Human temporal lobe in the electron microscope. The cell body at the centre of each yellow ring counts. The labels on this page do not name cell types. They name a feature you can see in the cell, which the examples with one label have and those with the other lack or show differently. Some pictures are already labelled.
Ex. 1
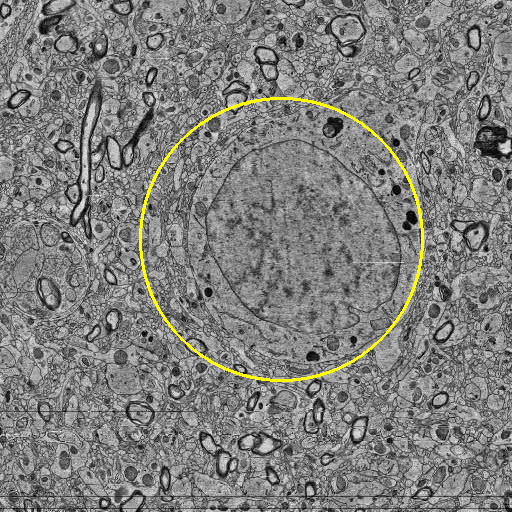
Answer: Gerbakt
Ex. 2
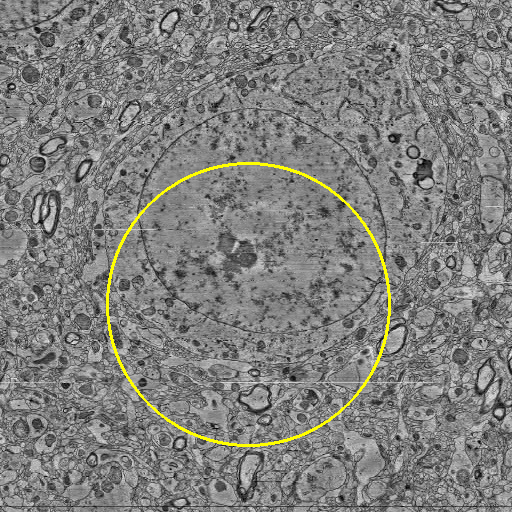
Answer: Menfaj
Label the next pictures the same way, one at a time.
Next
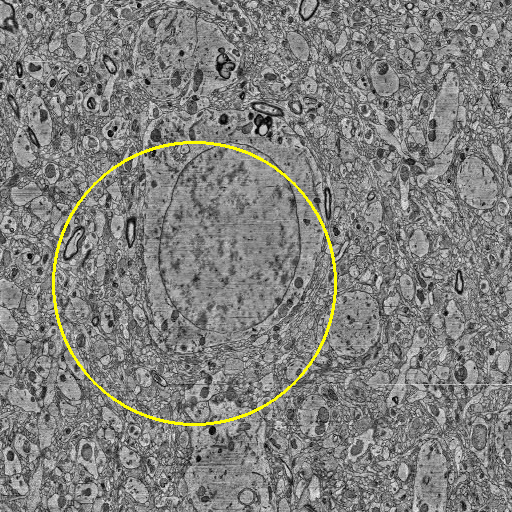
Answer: Gerbakt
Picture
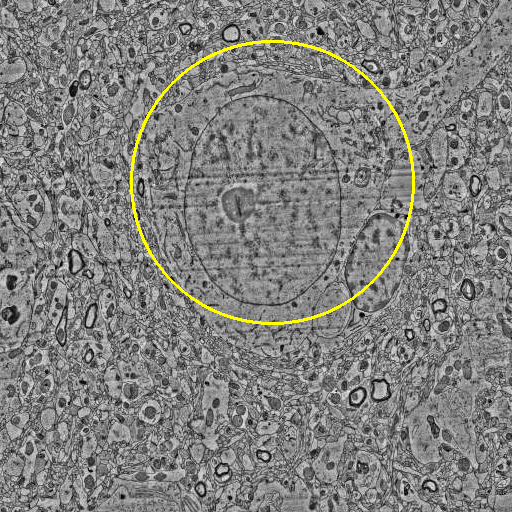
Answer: Menfaj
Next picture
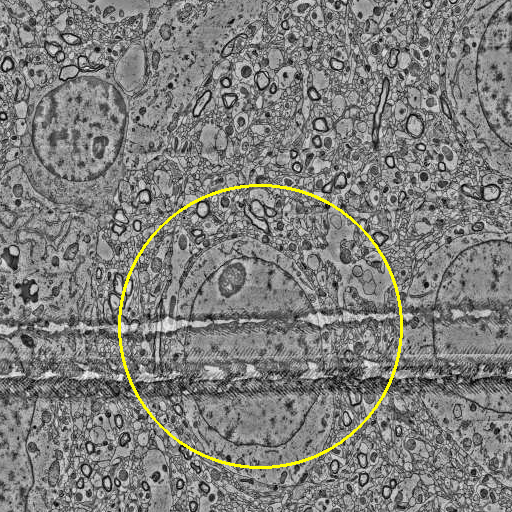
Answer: Menfaj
